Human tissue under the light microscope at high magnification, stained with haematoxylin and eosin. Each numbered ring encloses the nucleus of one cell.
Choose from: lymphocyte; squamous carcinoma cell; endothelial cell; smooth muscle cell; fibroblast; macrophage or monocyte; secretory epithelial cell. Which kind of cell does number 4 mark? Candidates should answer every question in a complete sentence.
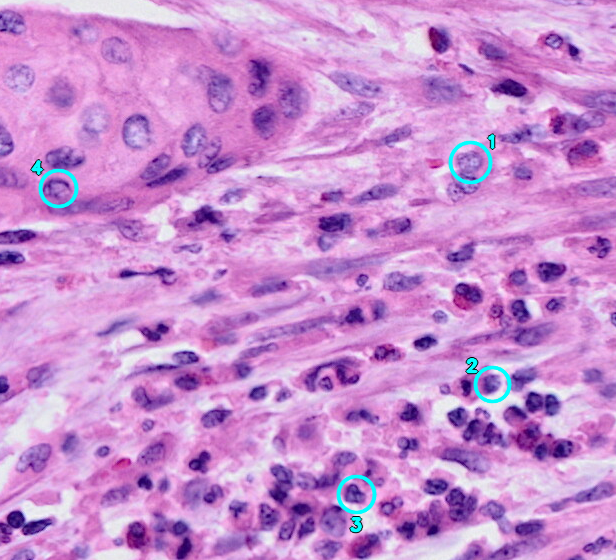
The cell that is numbered 4 is a squamous carcinoma cell.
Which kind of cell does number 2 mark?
The numbered cell 2 in this field is a lymphocyte.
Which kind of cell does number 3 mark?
The cell numbered 3 has been identified as a lymphocyte.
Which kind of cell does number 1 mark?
The numbered cell 1 in this field is an endothelial cell.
